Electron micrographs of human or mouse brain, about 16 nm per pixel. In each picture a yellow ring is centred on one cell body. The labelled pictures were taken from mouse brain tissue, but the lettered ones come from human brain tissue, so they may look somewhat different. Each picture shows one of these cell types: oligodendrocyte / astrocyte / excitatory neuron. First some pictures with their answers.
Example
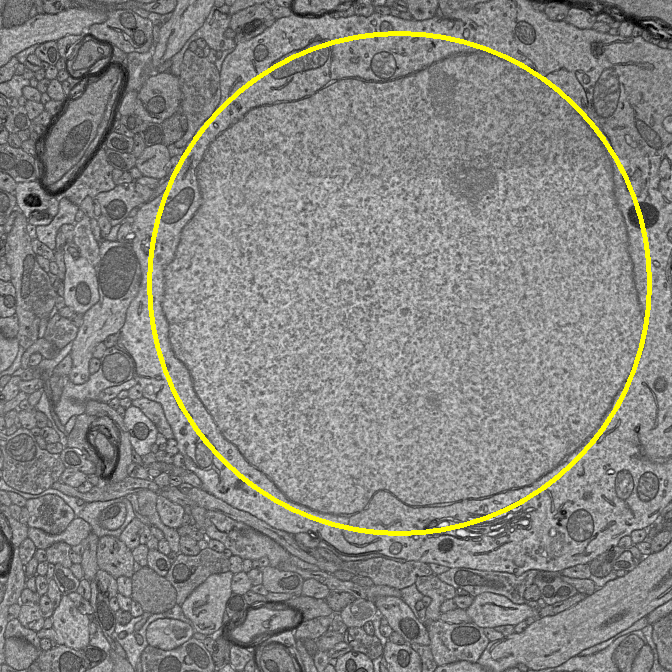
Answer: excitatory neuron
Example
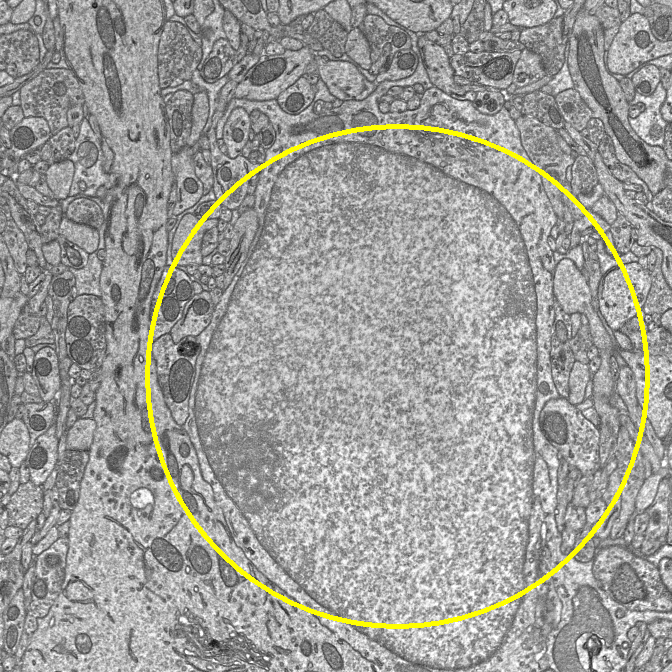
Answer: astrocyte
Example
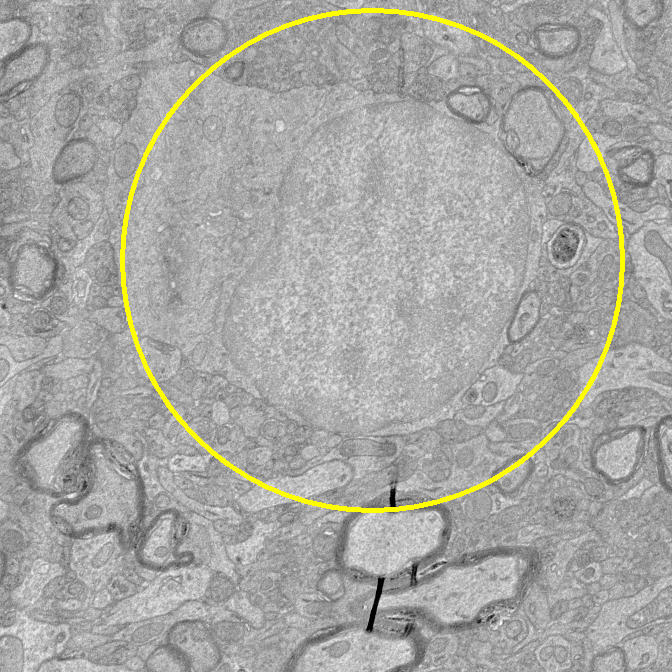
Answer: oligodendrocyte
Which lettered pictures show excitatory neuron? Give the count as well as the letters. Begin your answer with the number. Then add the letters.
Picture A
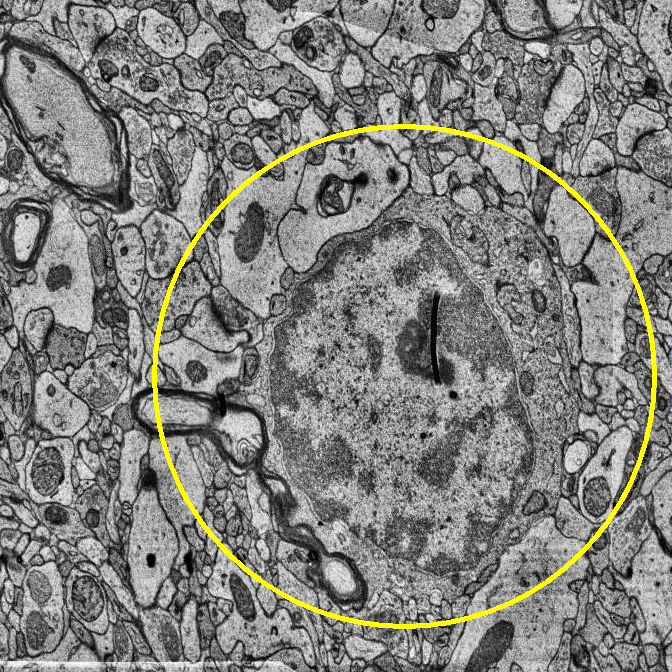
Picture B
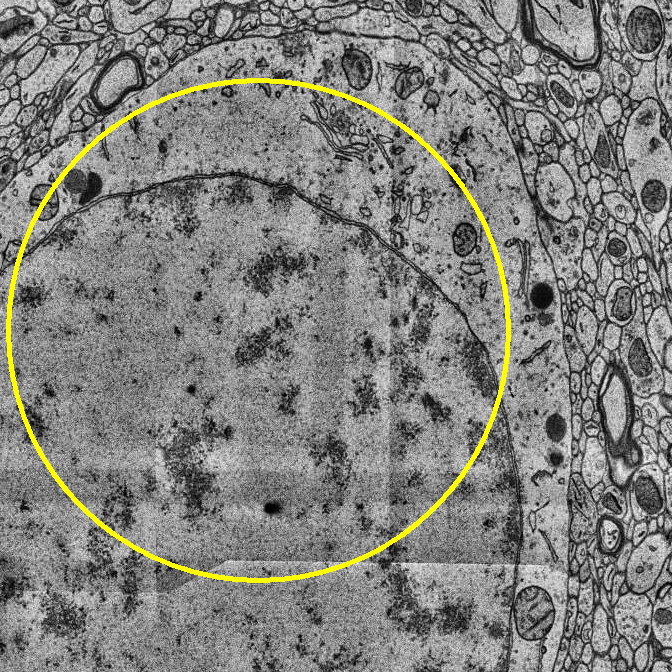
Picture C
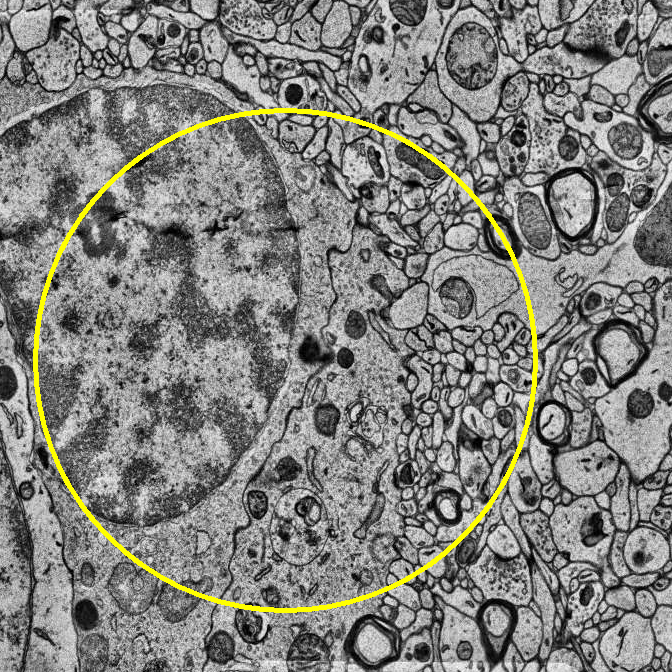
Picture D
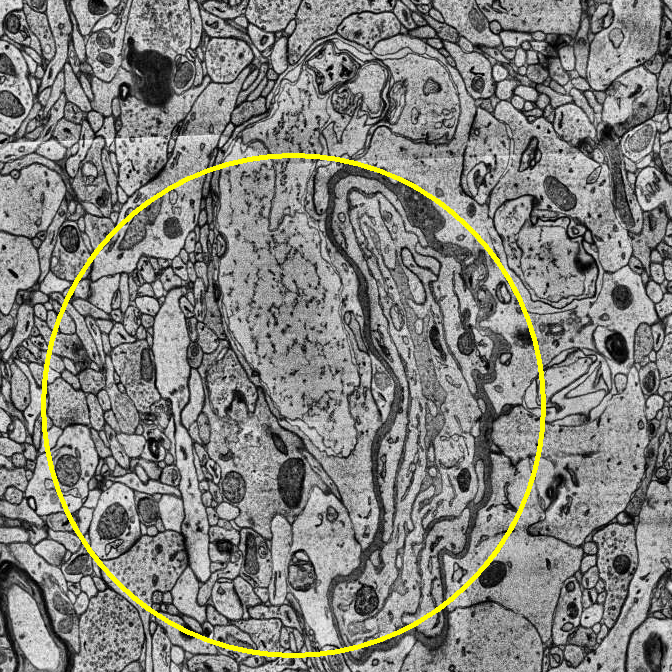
1, namely B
